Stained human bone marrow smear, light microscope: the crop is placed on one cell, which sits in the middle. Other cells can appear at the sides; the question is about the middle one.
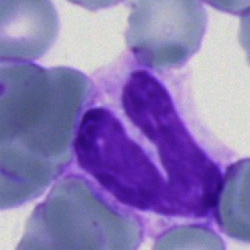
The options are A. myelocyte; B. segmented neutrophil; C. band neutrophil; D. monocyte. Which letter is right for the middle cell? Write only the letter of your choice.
C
